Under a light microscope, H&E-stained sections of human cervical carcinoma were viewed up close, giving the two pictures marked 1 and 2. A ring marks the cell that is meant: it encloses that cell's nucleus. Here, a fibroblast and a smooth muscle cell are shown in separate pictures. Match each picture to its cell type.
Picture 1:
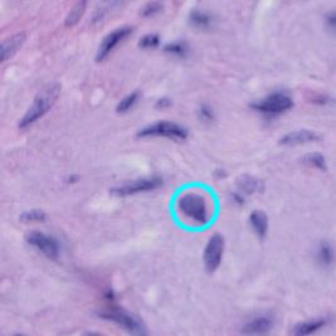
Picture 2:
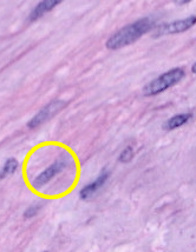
1: fibroblast
2: smooth muscle cell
